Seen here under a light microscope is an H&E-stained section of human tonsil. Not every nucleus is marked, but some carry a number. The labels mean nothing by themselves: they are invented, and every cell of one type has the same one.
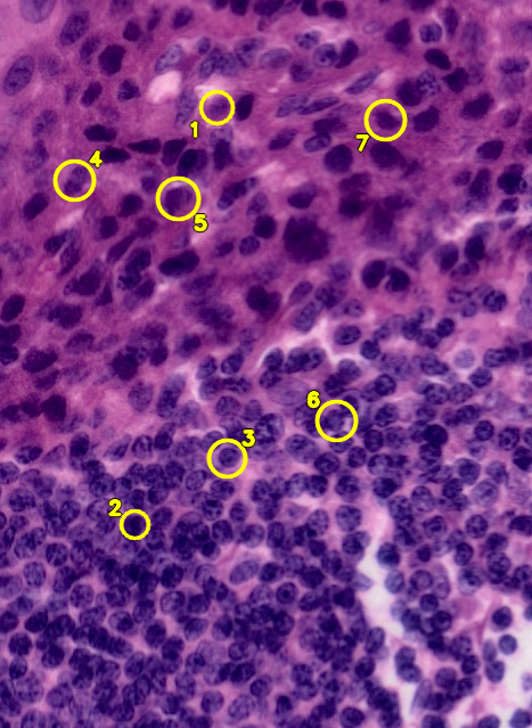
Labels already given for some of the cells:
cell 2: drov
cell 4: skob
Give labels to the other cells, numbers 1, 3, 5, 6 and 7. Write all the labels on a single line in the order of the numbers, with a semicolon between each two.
skob; drov; skob; drov; skob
